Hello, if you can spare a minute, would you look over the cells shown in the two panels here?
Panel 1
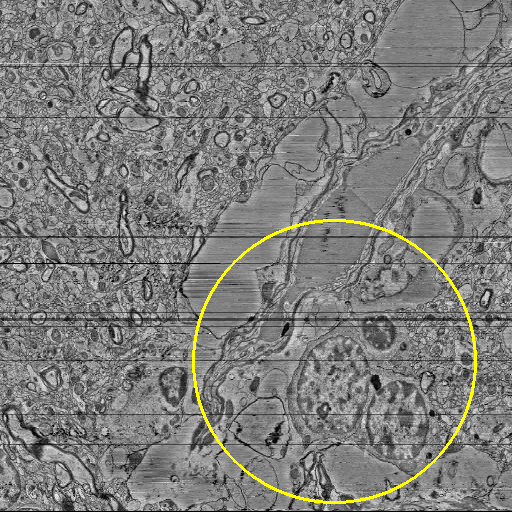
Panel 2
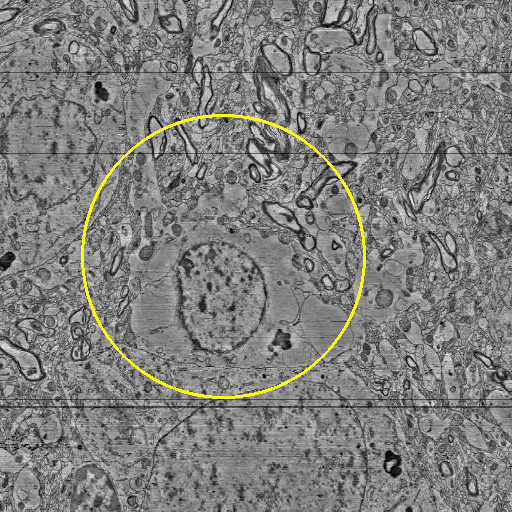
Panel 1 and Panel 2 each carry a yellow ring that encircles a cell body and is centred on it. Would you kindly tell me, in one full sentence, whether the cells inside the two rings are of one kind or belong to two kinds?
The cells at the centres of the rings in Panel 1 and Panel 2 belong to two kinds.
